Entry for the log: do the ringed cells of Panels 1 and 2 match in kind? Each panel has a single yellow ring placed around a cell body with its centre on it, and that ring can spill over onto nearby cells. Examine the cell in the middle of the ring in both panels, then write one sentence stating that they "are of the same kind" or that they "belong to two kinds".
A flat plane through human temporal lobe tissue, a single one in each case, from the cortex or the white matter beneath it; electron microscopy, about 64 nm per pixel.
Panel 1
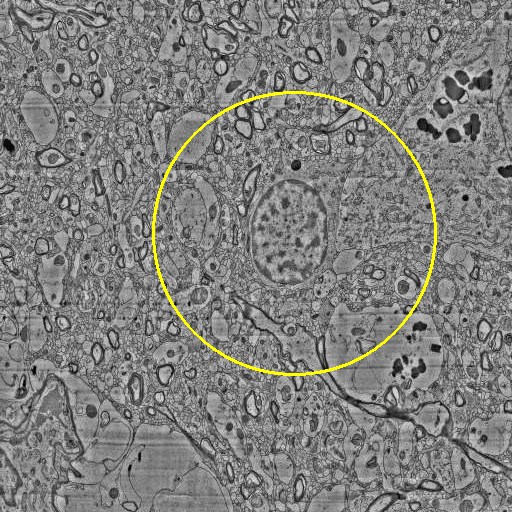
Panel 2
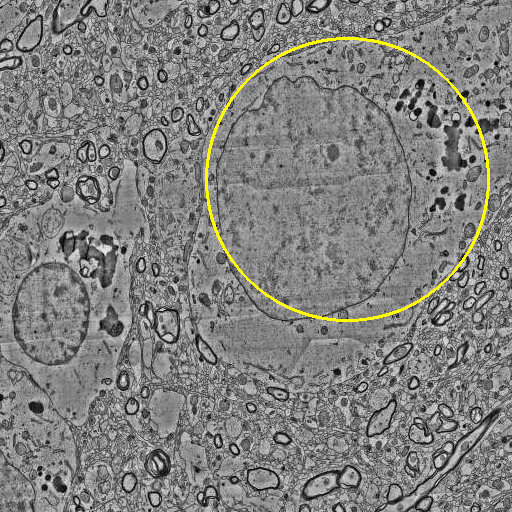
The centre cell of Panel 1's ring and that of Panel 2's ring belong to two kinds.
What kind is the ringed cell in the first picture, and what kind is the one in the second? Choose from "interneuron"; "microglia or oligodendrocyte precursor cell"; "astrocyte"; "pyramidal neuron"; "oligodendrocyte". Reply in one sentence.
The first cell is an oligodendrocyte; the second is a pyramidal neuron.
